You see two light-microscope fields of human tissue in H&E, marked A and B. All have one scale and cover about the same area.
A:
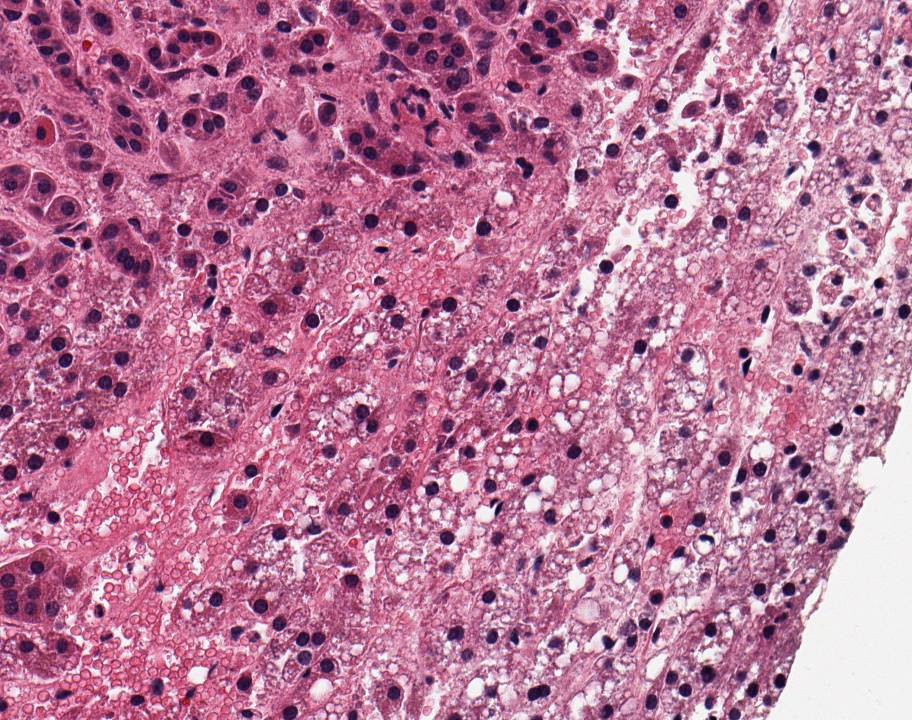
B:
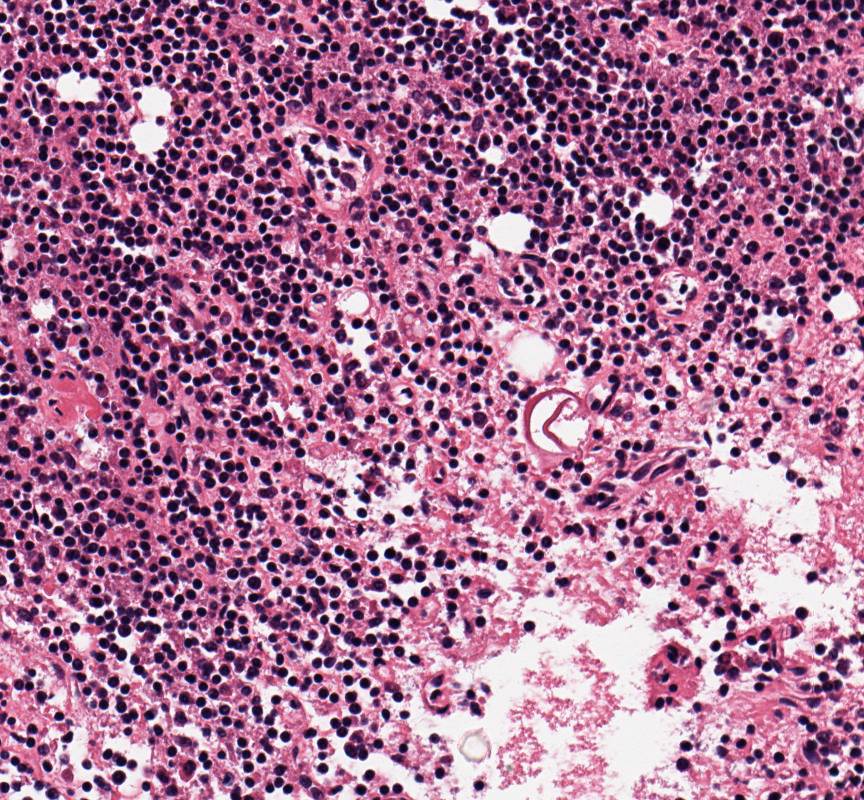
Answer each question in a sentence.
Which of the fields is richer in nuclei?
It is picture B that has more nuclei in it.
